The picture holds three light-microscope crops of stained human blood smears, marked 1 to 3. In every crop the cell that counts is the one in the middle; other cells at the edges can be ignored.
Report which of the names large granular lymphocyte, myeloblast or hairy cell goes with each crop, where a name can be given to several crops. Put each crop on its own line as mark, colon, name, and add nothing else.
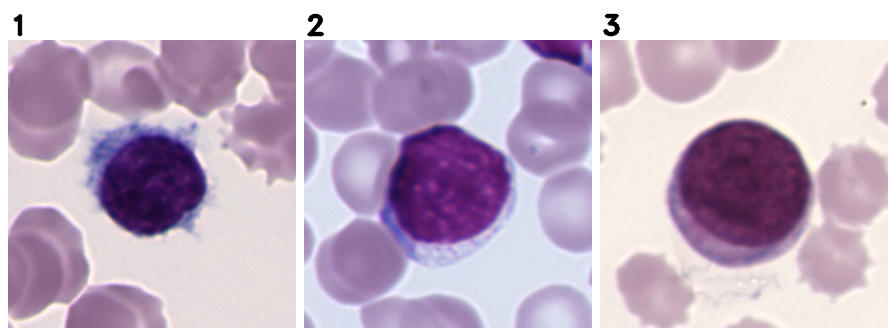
1: hairy cell
2: large granular lymphocyte
3: myeloblast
